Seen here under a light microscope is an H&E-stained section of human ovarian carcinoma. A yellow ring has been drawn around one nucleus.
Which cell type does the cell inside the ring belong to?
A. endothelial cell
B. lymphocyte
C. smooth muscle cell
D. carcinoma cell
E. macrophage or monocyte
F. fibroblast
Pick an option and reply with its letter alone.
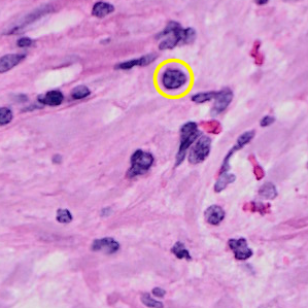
B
